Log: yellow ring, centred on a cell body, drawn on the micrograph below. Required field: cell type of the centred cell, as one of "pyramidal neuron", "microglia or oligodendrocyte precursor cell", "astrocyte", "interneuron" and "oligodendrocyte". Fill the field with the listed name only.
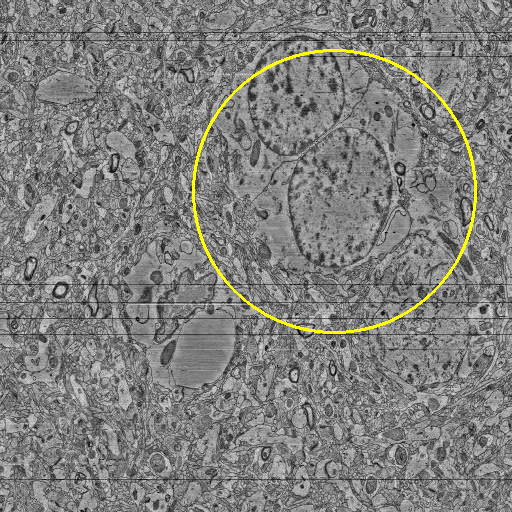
astrocyte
